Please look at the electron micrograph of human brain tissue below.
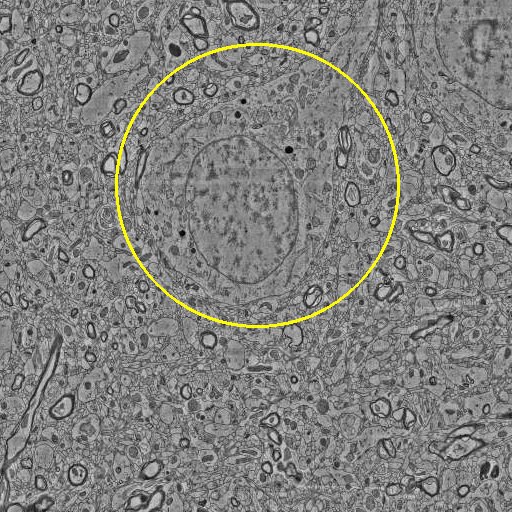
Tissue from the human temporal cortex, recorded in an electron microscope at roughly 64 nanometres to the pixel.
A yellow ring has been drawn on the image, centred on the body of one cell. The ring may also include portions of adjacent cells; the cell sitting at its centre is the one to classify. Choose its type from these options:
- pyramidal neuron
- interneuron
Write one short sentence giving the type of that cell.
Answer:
The cell in the middle of the ring is a pyramidal neuron.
